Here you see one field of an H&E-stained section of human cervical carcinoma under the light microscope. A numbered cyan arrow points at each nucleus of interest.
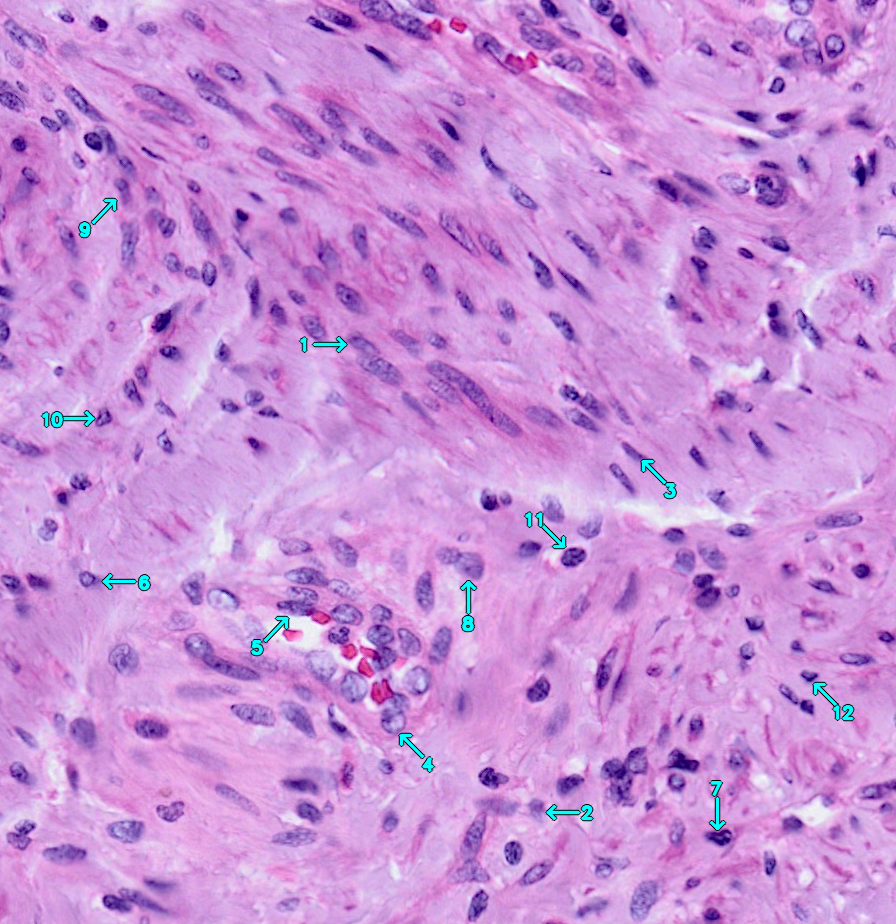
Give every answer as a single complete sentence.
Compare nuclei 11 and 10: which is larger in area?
Nucleus 11 covers more area, about 2.5 times as much as nucleus 10.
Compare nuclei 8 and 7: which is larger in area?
Of the two, number 8 is bigger and takes up about 1.5 times the area of number 7.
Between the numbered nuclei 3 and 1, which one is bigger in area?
It is nucleus 1, which covers about 1.5 times the area of nucleus 3.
